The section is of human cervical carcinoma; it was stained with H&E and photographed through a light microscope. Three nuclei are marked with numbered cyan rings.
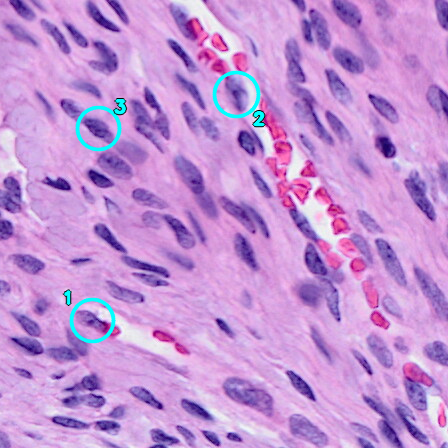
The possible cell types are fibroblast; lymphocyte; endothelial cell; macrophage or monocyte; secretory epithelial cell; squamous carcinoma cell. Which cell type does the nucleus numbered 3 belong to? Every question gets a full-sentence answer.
The nucleus labelled 3 belongs to a fibroblast.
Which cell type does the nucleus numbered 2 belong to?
Of the numbered cells, the one labelled 2 is an endothelial cell.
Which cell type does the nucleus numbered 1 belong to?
Cell 1, as marked in the section, is an endothelial cell.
